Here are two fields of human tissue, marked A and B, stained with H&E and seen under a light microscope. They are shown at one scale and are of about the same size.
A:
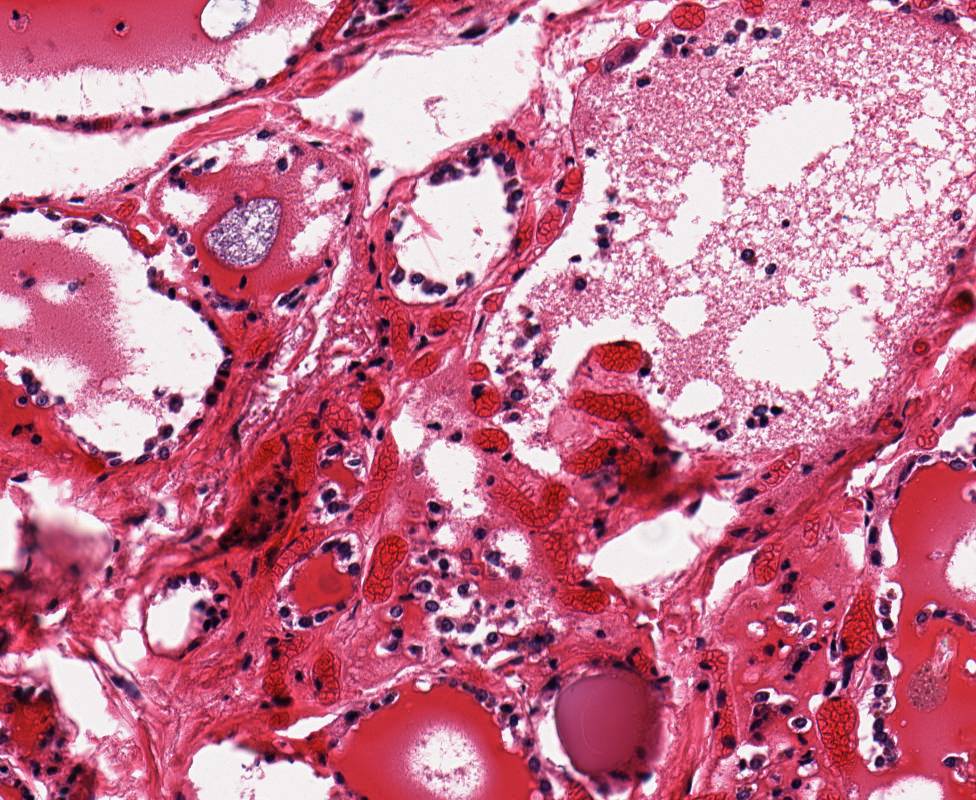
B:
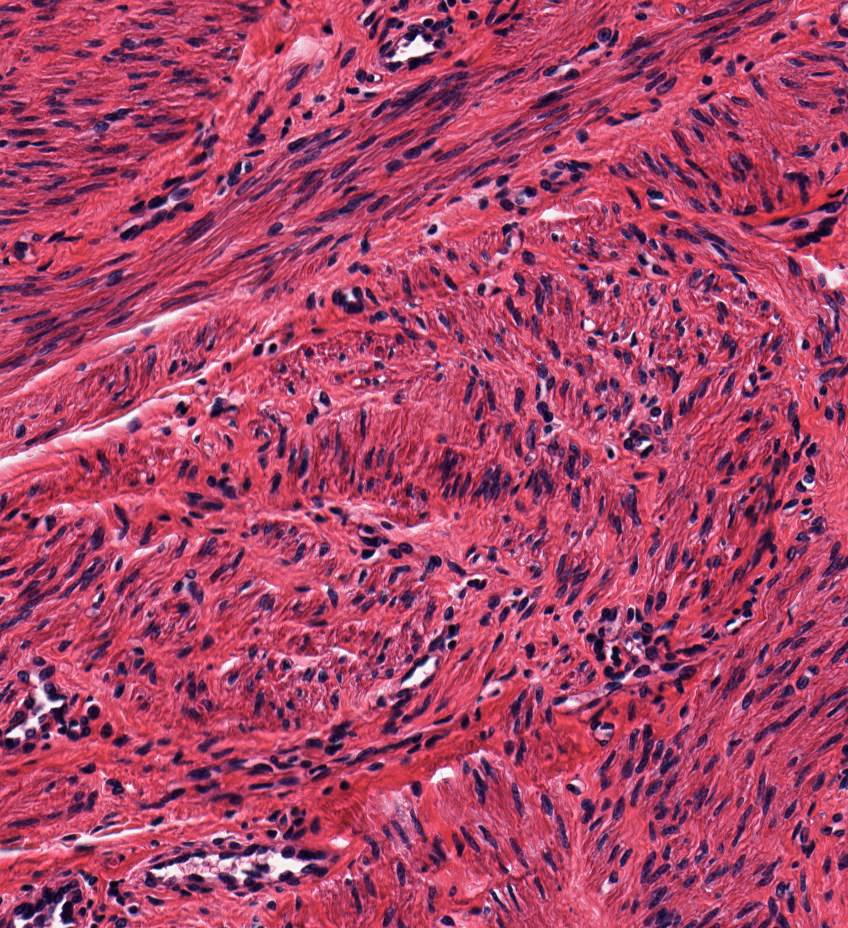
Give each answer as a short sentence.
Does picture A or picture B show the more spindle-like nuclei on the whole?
On the whole the nuclei of picture B are more drawn out than those of picture A.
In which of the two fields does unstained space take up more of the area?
More of picture A is empty and white.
